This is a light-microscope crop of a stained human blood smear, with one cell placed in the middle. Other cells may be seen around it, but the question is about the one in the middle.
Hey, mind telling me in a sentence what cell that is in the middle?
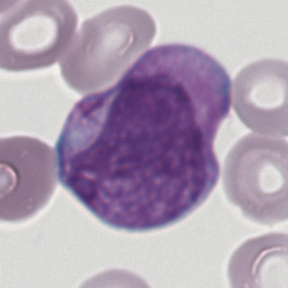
In the middle of this smear crop, the cell is an atypical promyelocyte.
